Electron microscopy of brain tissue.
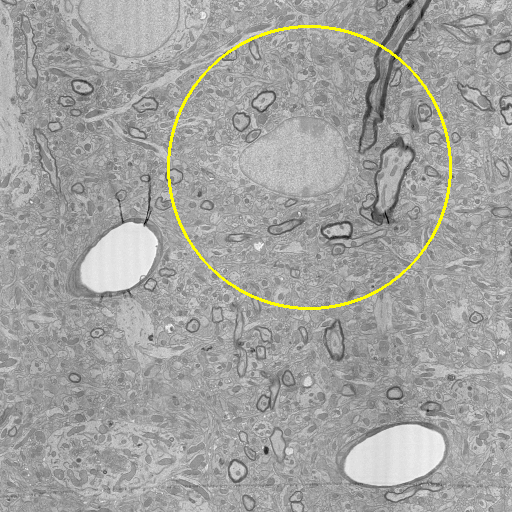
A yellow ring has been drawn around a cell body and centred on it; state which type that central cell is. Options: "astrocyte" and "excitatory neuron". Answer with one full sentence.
The cell at the middle of the yellow ring is an astrocyte in this picture.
